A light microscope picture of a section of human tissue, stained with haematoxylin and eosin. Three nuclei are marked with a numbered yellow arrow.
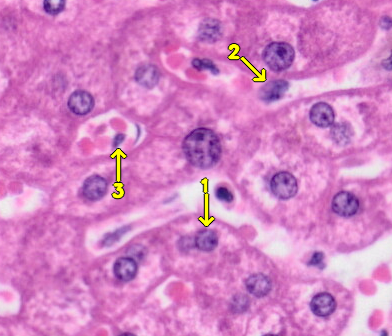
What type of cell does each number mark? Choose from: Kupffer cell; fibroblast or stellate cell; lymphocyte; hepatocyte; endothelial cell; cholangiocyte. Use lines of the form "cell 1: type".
cell 1: hepatocyte
cell 2: endothelial cell
cell 3: lymphocyte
